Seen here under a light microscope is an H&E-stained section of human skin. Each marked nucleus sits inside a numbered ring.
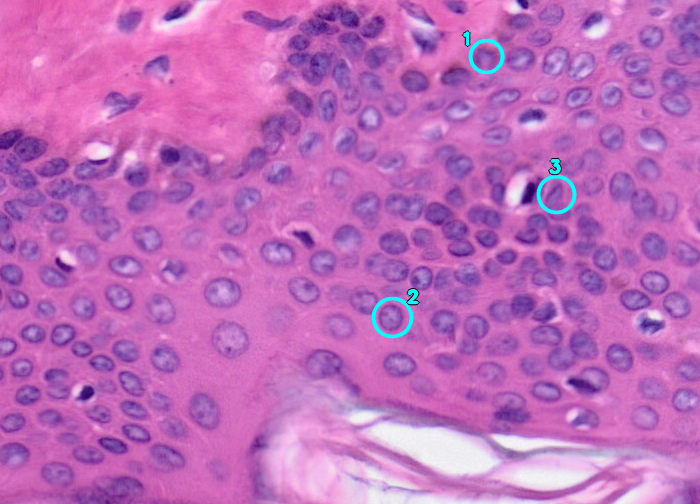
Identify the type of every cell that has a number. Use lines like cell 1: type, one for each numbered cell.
cell 1: basal keratinocyte
cell 2: suprabasal keratinocyte
cell 3: basal keratinocyte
